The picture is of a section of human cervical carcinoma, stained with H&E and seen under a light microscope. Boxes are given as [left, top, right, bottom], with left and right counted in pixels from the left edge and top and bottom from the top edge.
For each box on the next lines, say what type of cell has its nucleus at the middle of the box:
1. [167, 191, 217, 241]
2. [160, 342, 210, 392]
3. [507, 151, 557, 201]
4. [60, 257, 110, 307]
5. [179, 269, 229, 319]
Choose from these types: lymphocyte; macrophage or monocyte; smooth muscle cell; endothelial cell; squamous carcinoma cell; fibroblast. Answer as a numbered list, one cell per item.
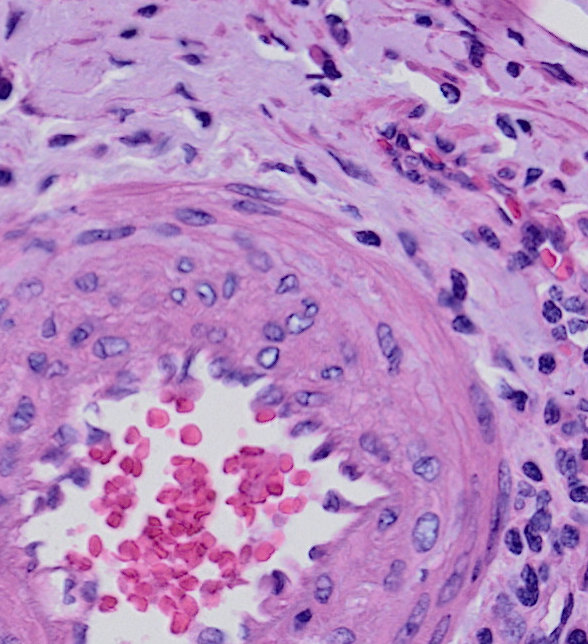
1. smooth muscle cell
2. endothelial cell
3. lymphocyte
4. smooth muscle cell
5. smooth muscle cell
